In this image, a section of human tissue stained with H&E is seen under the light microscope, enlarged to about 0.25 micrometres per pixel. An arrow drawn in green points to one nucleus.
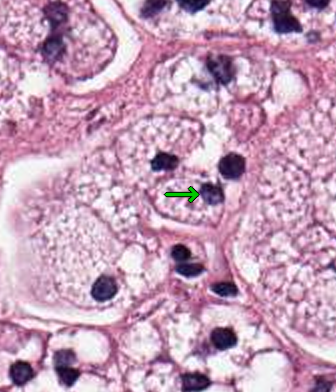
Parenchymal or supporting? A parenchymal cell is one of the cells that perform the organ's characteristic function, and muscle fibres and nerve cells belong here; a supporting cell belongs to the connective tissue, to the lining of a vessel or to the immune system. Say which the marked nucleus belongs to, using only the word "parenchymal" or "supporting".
parenchymal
